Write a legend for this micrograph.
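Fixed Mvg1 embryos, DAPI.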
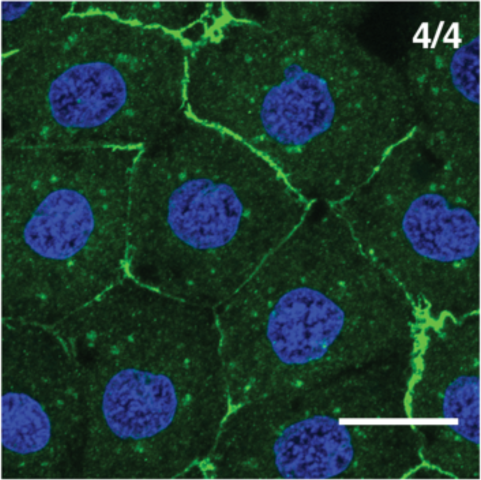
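Closely packed polygonal embryonic cells, each with a large round to oval blue nucleus of mottled texture. The green signal is brightest along the borders between cells, outlining them as thin lines with occasional bright clumps, while the cytoplasm shows only faint green with scattered small dots.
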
